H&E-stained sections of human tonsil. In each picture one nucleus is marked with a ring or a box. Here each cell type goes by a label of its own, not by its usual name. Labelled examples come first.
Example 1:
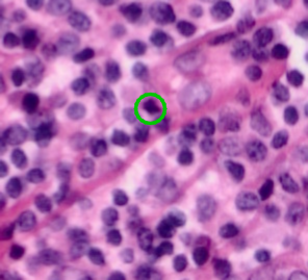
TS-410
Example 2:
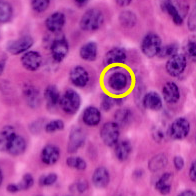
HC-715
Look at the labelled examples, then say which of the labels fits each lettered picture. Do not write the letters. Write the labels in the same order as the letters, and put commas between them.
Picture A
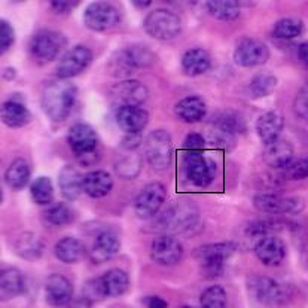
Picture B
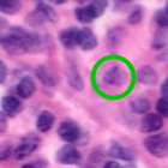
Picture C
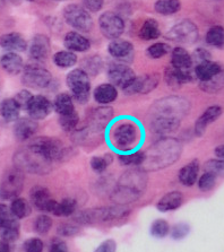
HC-715, TS-410, TS-410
